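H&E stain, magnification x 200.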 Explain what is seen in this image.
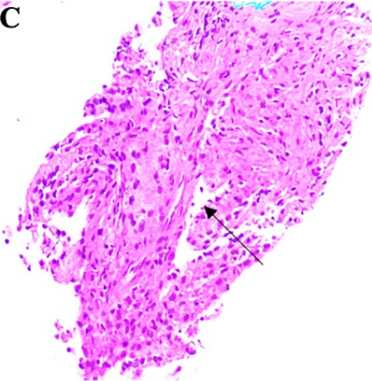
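This is a core of fibrovascular tissue stained pink, crossed by narrow slit-like vascular channels lined by plump cells. The stroma is made of pink fibrous strands with many spindle-shaped and oval purple nuclei running in streams. Along the slit-like spaces the lining cells are rounder and plumper than flat lining cells would be. The nuclei look fairly uniform in size and shape, without striking enlargement. No areas of dead tissue or debris are seen in the fragment.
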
